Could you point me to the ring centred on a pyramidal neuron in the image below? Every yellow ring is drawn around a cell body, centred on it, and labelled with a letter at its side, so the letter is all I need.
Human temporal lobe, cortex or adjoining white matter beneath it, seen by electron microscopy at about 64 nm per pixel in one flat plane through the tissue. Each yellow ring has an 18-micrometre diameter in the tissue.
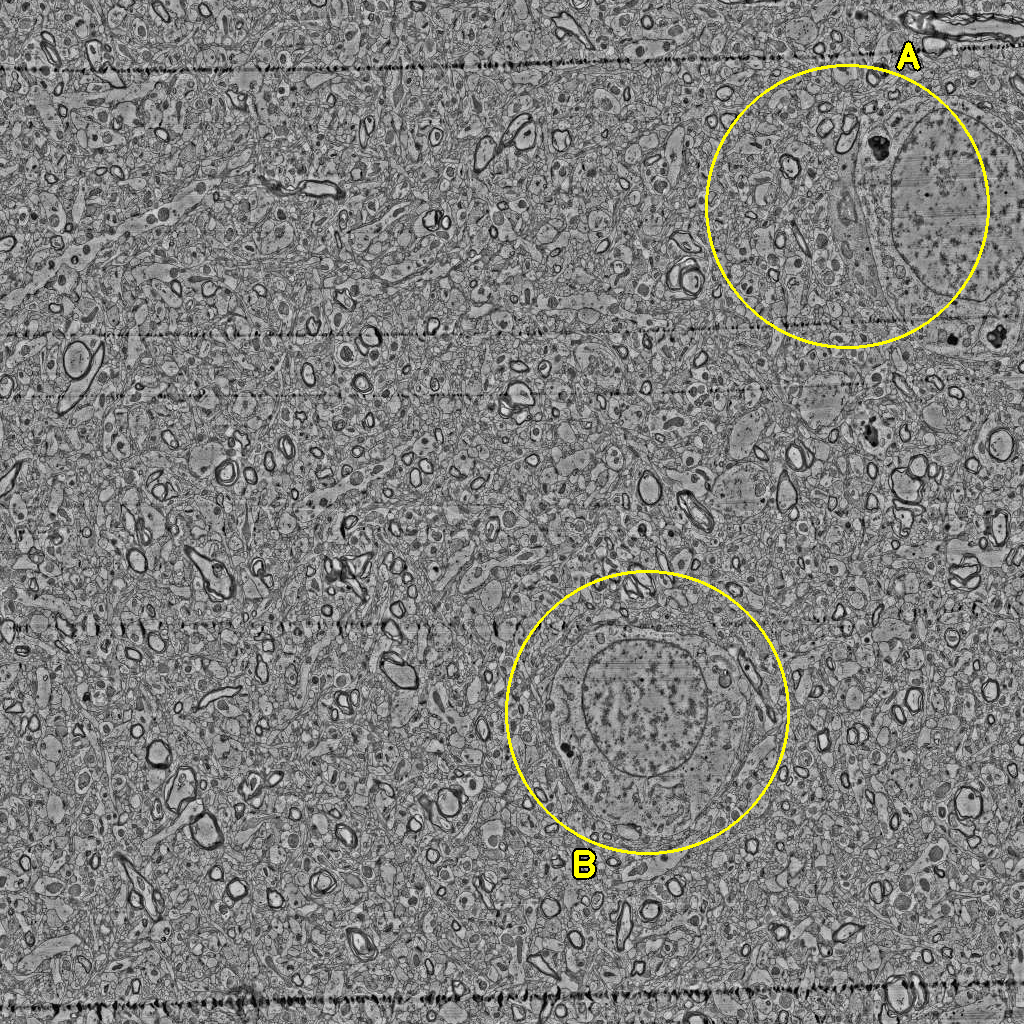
B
